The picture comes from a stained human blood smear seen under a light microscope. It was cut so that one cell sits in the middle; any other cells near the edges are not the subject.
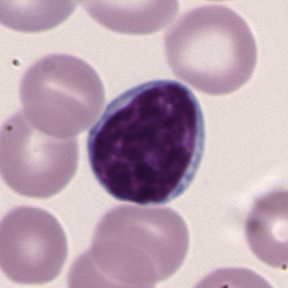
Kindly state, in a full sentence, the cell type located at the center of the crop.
In short, the cell at the center is a typical lymphocyte.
